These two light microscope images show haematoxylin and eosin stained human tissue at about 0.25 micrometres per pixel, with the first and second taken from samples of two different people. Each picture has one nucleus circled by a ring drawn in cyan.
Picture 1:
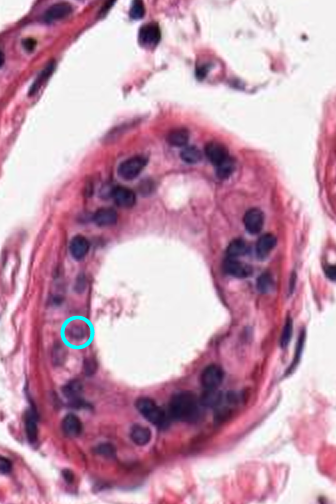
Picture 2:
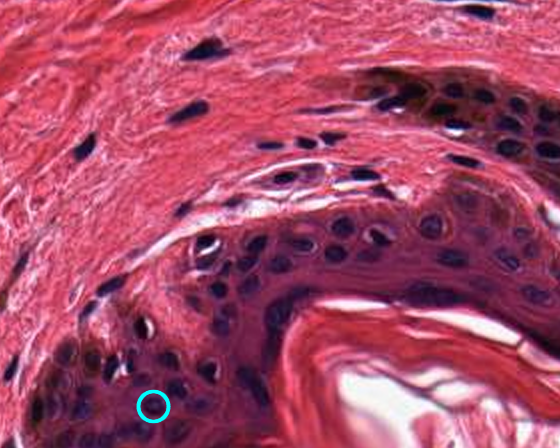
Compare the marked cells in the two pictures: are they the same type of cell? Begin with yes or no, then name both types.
No, the first is a sweat gland cell and the second a keratinocyte.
